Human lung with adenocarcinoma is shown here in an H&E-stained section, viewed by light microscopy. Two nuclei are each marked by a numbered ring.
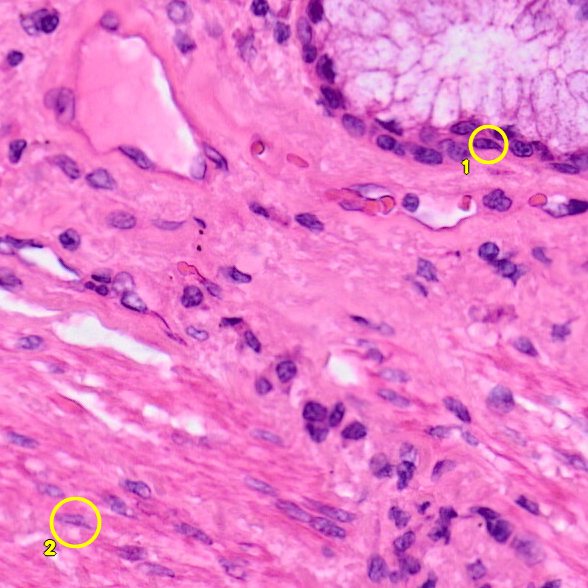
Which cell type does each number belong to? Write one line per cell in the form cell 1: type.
cell 1: ciliated epithelial cell
cell 2: smooth muscle cell or pericyte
